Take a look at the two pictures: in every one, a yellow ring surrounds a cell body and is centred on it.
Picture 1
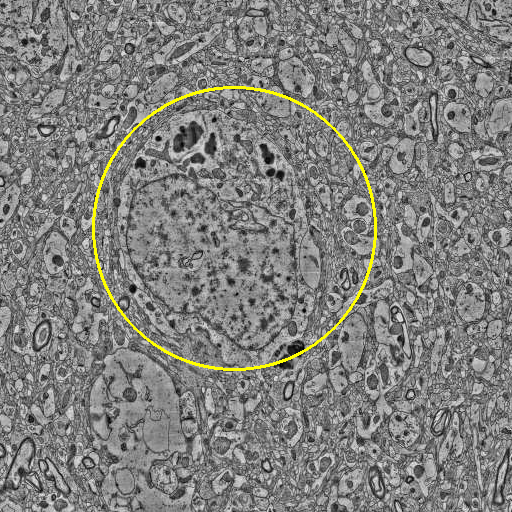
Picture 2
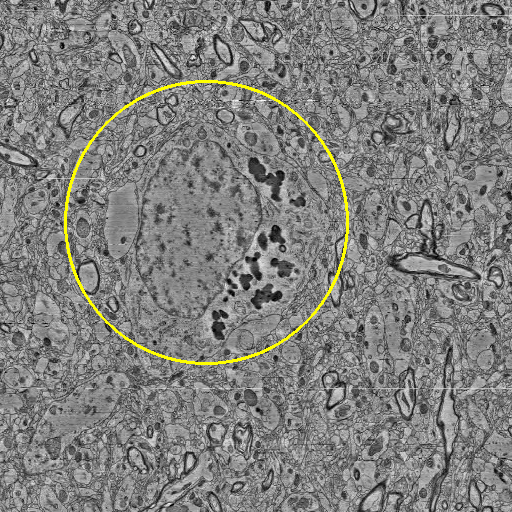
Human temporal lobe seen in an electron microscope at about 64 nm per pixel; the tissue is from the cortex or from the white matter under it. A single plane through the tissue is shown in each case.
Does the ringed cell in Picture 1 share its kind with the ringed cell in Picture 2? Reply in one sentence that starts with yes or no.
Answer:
Yes, the two centred cells, one per picture, are of one kind.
